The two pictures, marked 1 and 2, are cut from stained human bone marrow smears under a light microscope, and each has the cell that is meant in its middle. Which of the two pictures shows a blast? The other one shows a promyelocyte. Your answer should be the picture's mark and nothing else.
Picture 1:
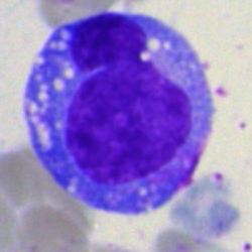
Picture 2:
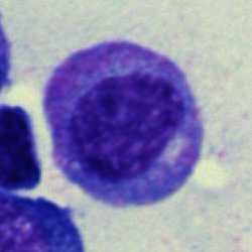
1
